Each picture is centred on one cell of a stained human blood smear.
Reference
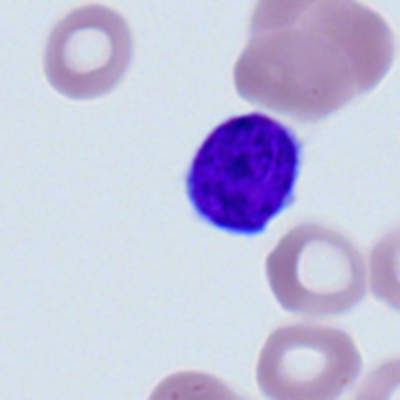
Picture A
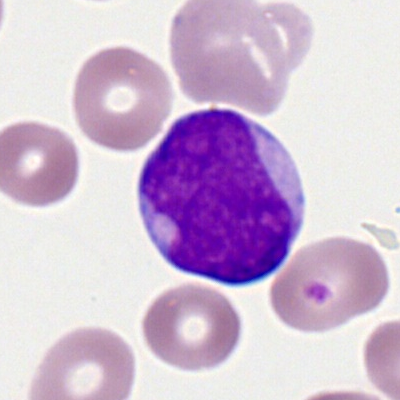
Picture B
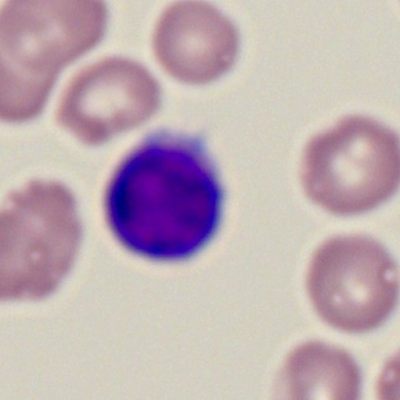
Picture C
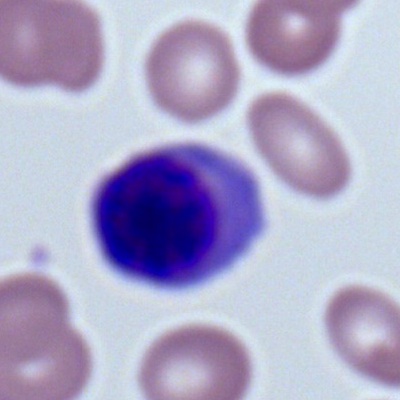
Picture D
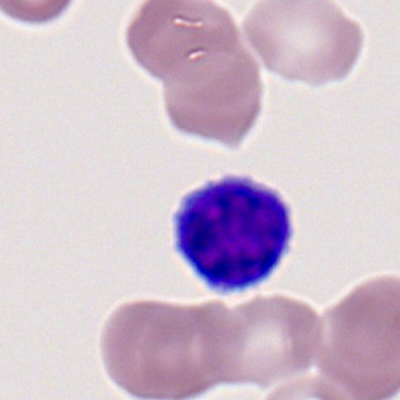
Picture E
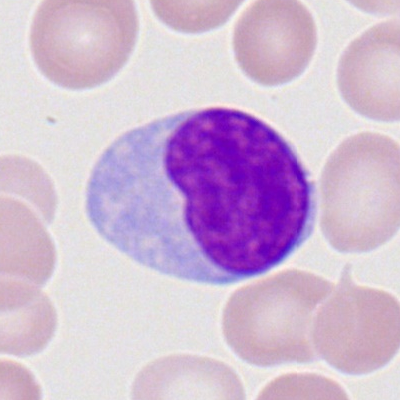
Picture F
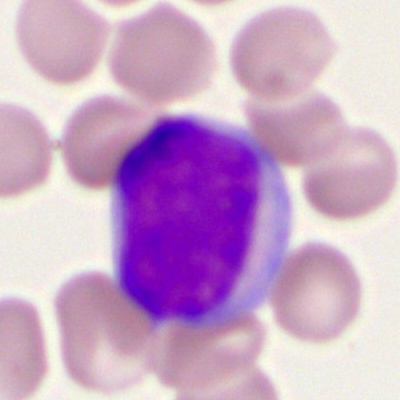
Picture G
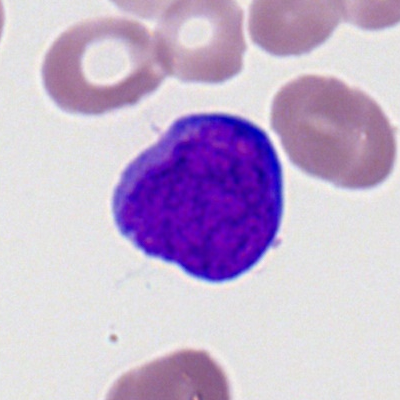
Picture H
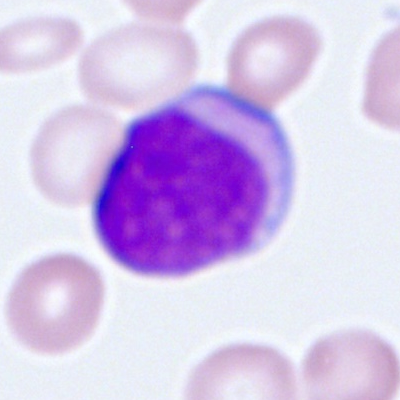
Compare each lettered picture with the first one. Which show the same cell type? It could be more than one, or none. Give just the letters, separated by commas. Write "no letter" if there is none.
B, C, D, E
